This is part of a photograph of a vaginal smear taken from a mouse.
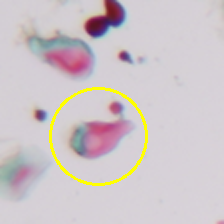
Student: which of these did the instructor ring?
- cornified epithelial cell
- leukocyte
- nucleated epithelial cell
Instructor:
The cell I ringed is a cornified epithelial cell.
